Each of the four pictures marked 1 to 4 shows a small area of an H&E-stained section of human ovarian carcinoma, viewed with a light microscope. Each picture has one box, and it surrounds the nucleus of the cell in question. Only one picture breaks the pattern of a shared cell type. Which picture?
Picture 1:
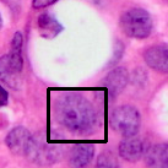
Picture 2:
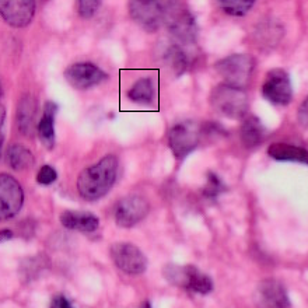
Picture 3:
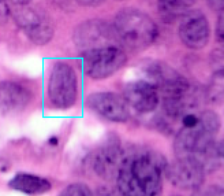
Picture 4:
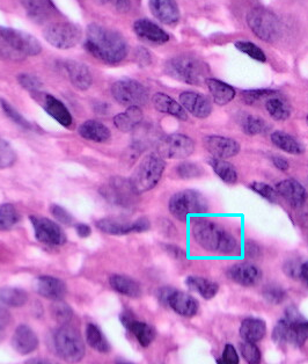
2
